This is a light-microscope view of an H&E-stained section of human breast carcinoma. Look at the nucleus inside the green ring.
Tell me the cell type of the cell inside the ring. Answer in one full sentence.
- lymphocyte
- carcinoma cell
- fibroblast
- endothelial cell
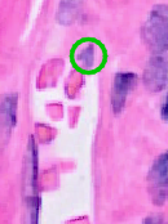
In this tissue sample, the cell inside the ring is an endothelial cell.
